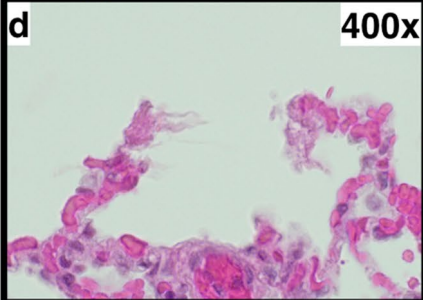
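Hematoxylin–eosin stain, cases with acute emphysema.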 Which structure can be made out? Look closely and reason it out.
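Septa end free in the airspace. The free ends are frayed into fine, loose pale pink strands. So: “fringed” dead-ends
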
